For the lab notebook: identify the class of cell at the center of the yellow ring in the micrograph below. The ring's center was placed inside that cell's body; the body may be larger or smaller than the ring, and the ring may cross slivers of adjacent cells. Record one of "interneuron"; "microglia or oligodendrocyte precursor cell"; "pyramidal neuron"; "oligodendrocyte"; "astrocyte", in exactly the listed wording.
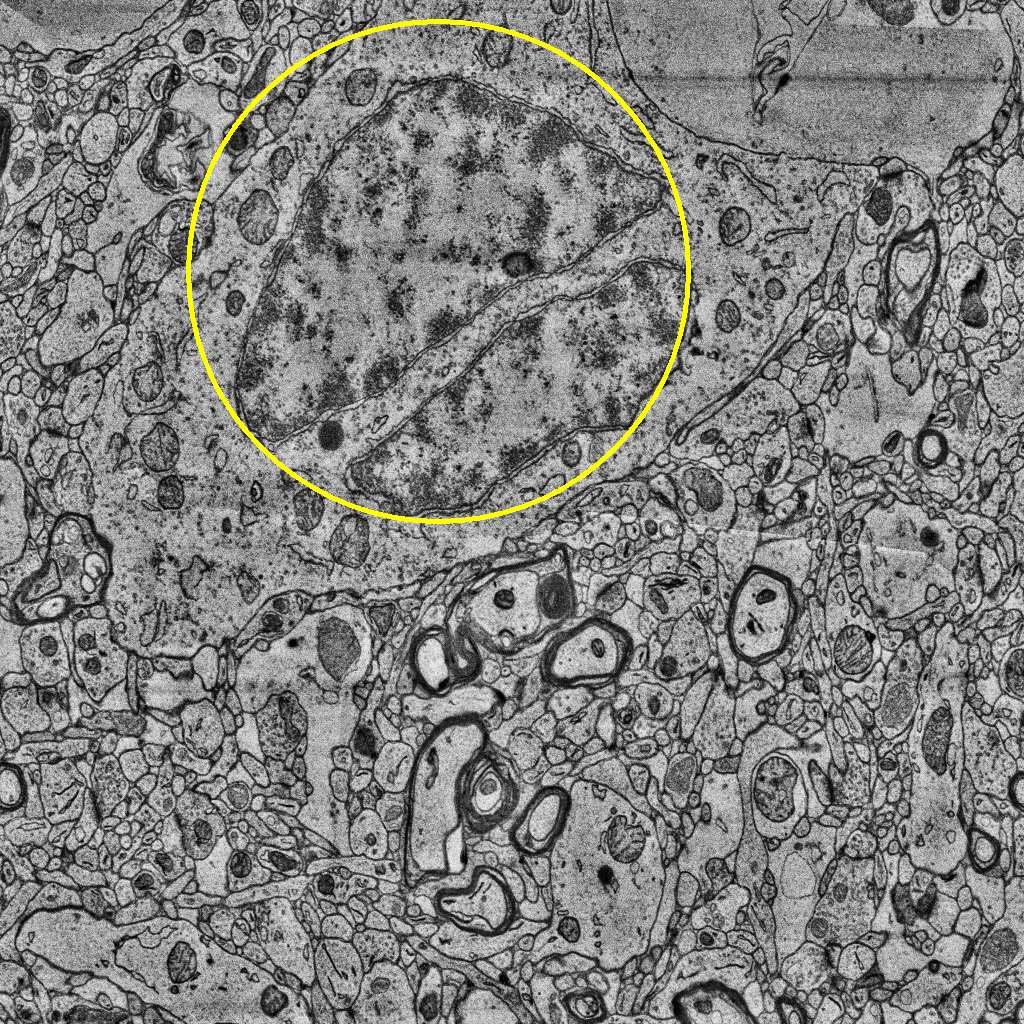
interneuron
